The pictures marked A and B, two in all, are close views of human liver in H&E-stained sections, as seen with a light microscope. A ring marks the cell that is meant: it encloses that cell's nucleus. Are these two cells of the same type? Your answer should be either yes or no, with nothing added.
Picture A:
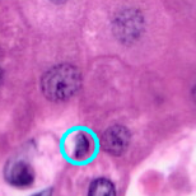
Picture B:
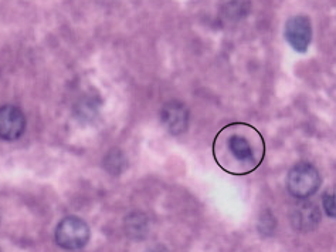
yes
